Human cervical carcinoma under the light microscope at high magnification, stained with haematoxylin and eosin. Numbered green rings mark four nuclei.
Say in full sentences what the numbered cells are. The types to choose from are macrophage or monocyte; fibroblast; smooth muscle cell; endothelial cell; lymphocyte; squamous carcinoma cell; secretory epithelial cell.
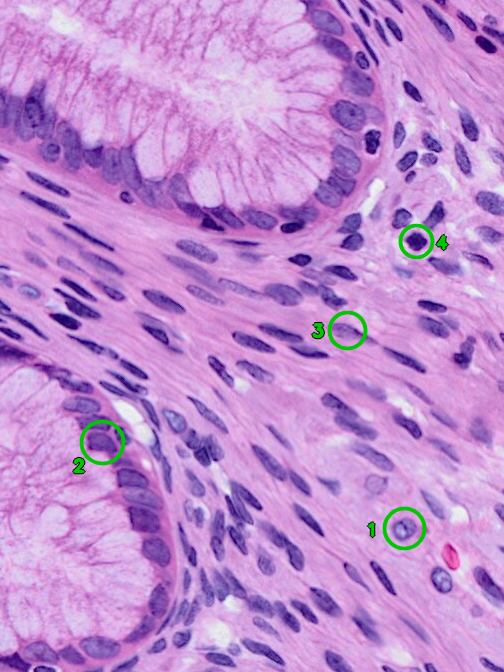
Cell 1 is an endothelial cell, cell 2 is a secretory epithelial cell, cell 3 is a fibroblast and cell 4 is a lymphocyte.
